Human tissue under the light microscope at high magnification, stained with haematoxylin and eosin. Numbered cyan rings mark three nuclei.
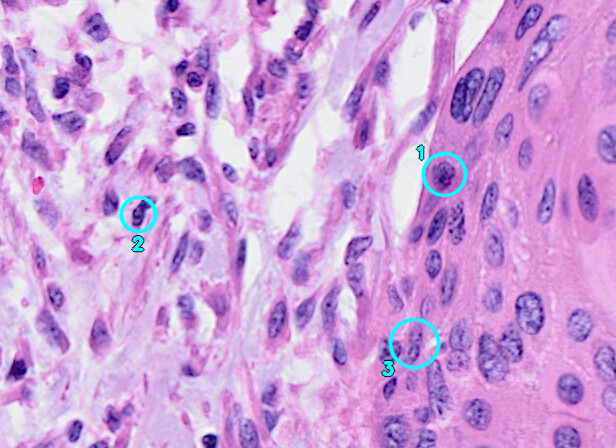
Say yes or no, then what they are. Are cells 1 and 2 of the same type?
No, the cell labelled 1 is a squamous carcinoma cell; the cell labelled 2 is a lymphocyte.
